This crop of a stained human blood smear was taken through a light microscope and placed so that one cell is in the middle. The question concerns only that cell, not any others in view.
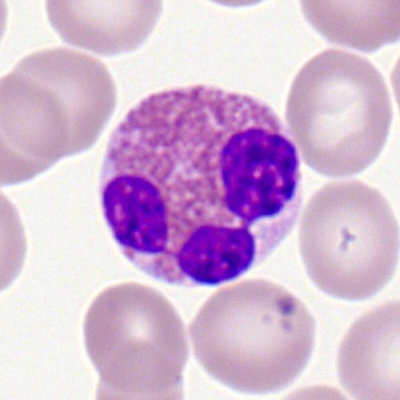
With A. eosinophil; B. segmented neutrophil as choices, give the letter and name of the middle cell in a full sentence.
Option A is the right one, for the cell in the middle is an eosinophil.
